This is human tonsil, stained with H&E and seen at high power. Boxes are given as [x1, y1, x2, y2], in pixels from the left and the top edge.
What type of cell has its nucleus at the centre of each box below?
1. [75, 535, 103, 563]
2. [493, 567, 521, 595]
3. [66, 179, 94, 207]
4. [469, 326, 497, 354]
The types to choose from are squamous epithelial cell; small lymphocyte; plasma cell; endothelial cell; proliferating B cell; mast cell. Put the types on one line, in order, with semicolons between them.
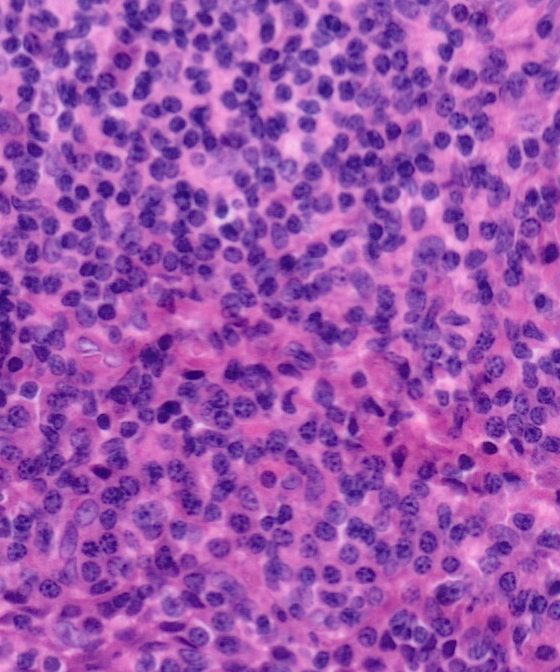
plasma cell; plasma cell; small lymphocyte; plasma cell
